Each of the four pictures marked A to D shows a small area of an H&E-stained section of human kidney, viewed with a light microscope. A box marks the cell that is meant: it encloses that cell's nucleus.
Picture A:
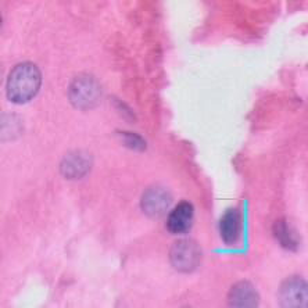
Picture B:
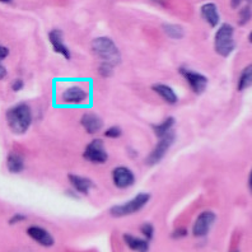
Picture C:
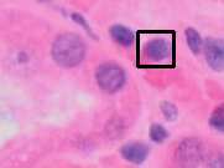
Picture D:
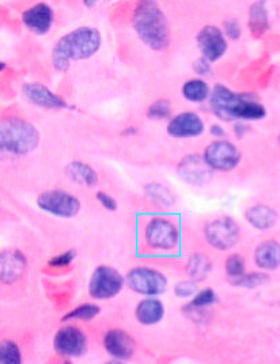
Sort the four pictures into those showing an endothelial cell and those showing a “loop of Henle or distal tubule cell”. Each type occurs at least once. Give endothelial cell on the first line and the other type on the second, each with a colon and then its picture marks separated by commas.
endothelial cell: A, B, C
loop of Henle or distal tubule cell: D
